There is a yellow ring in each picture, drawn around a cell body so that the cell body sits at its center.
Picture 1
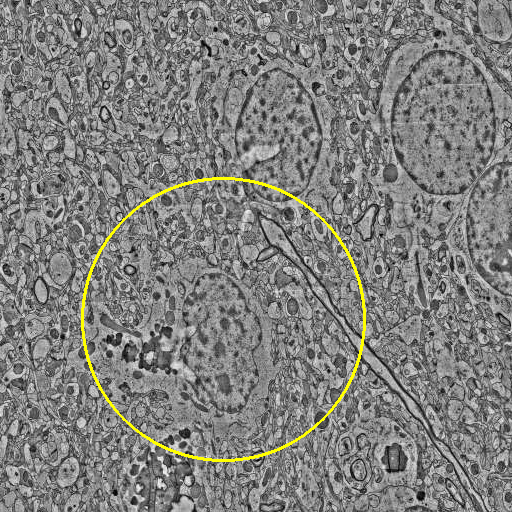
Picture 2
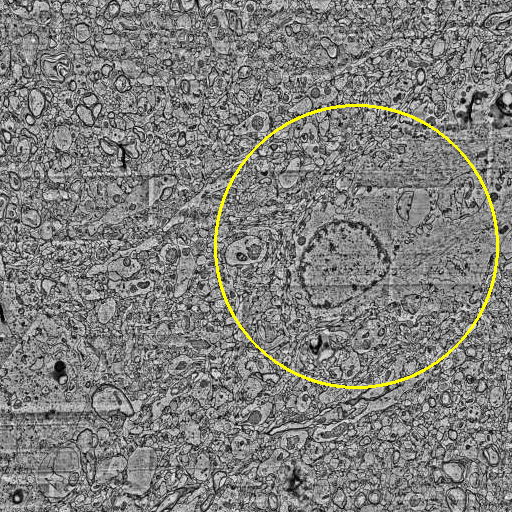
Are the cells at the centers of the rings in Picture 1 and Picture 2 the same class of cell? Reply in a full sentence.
Yes, the two cells are the same class of cell.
